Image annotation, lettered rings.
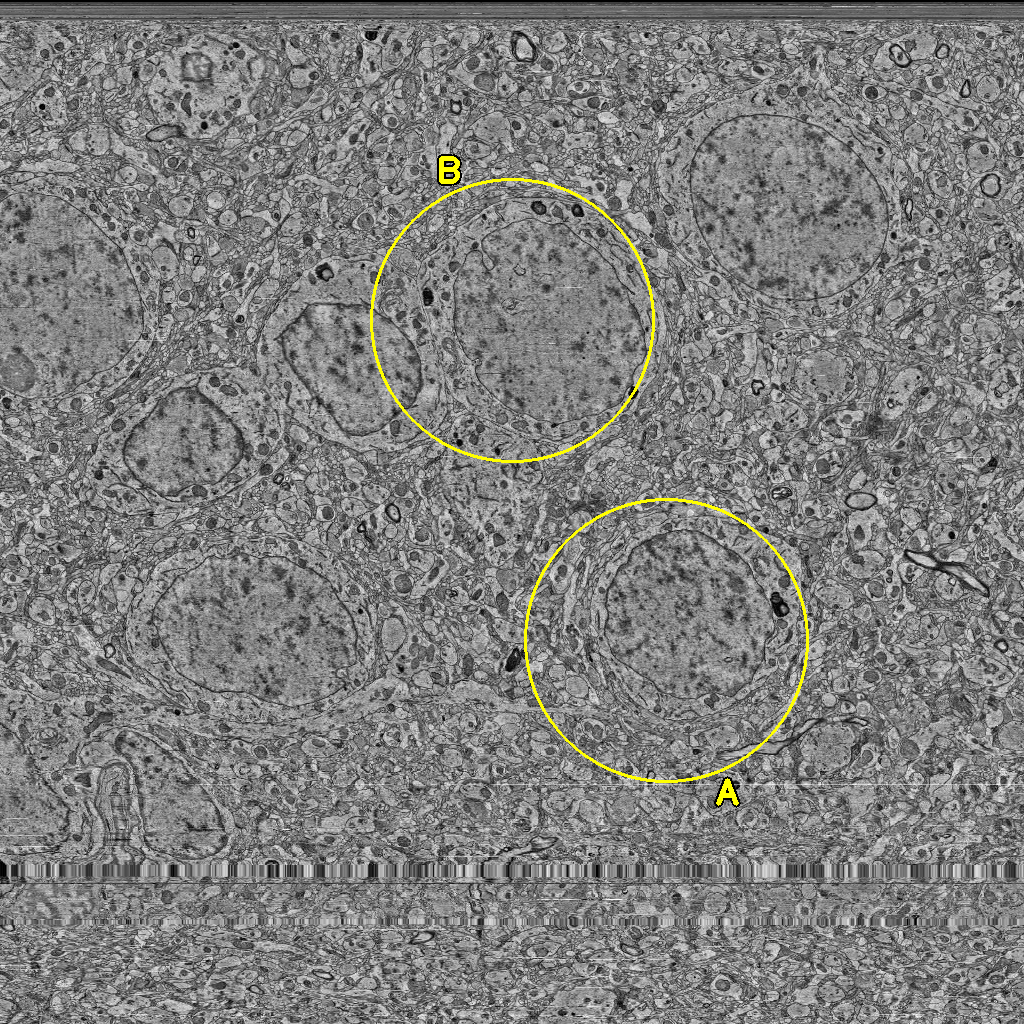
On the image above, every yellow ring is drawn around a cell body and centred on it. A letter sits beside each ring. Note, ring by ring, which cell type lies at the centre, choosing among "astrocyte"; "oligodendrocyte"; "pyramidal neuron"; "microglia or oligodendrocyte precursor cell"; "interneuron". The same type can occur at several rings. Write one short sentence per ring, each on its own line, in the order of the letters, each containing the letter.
Ring A has a pyramidal neuron at its centre.
Ring B has a pyramidal neuron at its centre.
